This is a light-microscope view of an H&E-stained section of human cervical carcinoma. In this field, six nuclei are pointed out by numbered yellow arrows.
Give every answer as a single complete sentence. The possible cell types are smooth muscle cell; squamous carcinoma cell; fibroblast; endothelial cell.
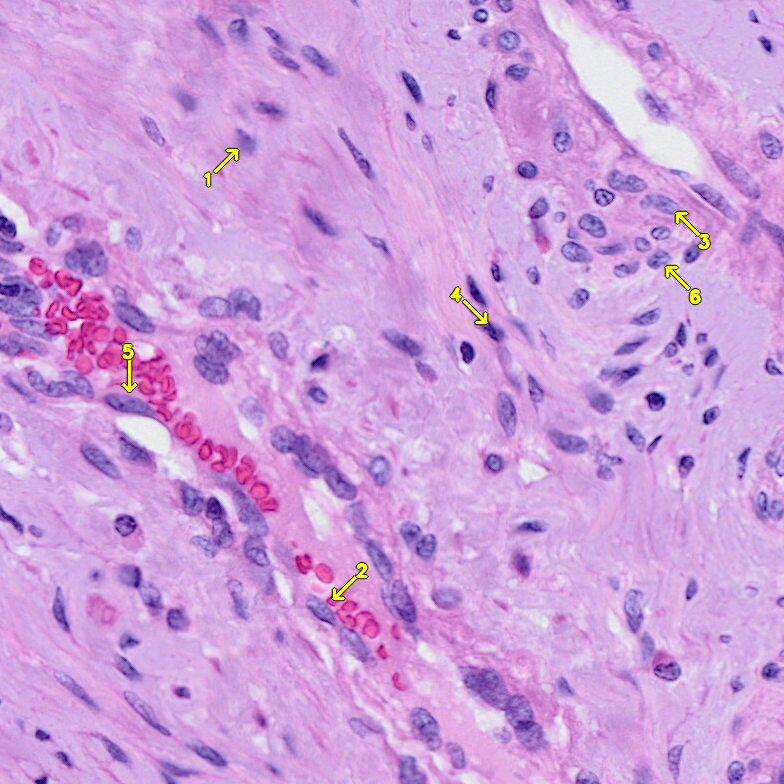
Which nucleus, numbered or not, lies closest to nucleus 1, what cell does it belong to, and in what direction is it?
The nearest one is a smooth muscle cell, found above and to the right of nucleus 1.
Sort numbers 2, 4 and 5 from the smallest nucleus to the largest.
The order from the smallest nucleus to the largest is 4, 2, 5.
